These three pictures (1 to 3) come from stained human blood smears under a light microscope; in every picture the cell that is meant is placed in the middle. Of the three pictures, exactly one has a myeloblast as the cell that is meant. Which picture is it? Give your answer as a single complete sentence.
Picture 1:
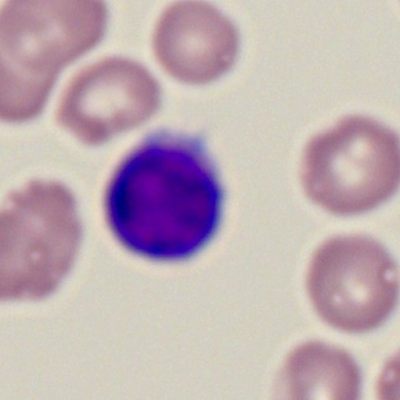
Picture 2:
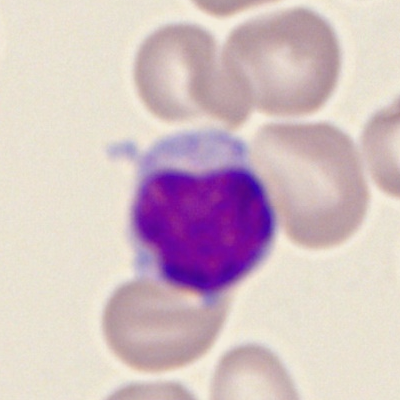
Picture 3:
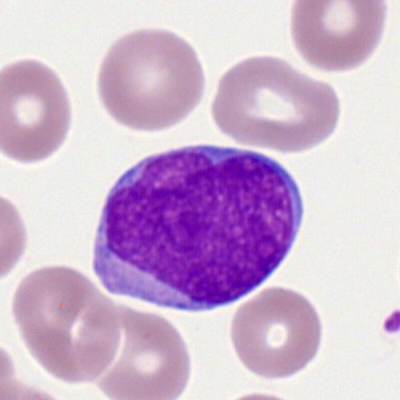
The myeloblast is the one in picture 3.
